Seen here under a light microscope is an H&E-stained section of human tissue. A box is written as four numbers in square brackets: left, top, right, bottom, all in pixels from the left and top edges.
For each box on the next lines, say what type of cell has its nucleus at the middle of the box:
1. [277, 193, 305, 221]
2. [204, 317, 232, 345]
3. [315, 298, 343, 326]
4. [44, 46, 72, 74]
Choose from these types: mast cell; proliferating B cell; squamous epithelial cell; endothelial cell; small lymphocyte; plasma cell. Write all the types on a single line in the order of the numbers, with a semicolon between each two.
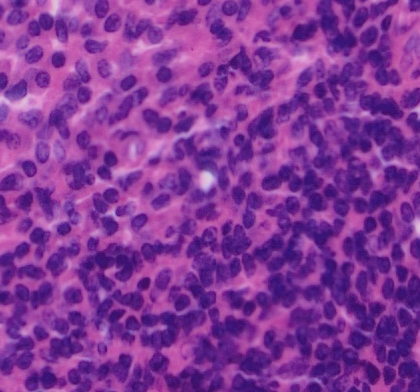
small lymphocyte; small lymphocyte; small lymphocyte; plasma cell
